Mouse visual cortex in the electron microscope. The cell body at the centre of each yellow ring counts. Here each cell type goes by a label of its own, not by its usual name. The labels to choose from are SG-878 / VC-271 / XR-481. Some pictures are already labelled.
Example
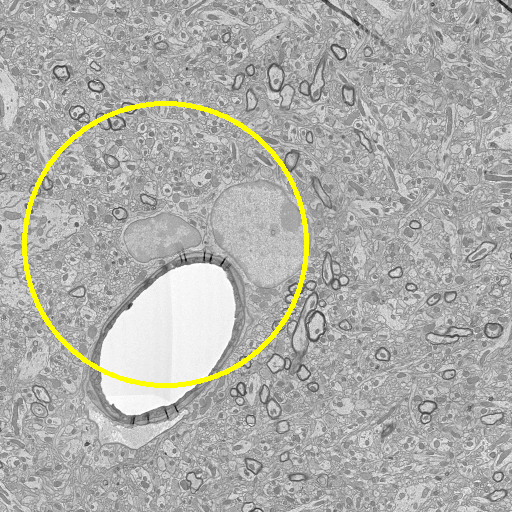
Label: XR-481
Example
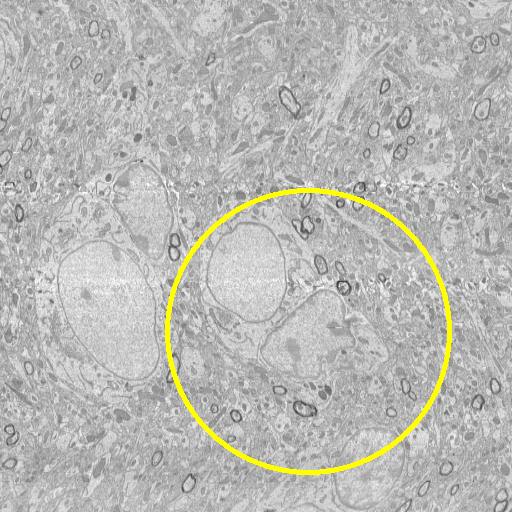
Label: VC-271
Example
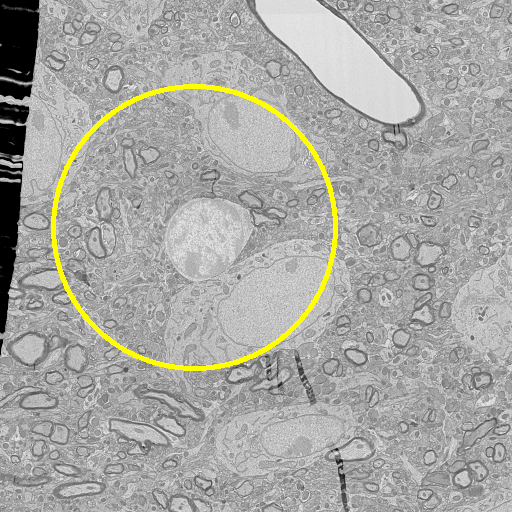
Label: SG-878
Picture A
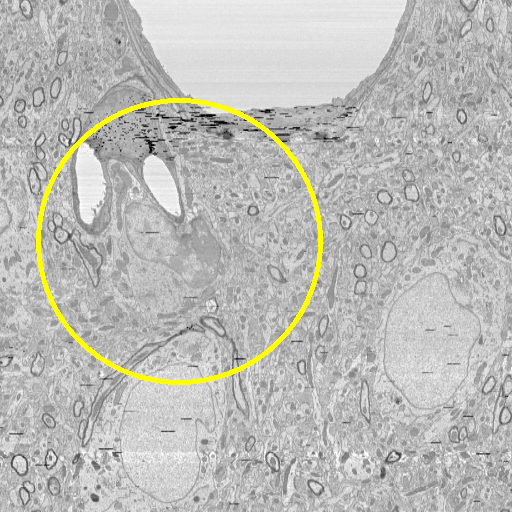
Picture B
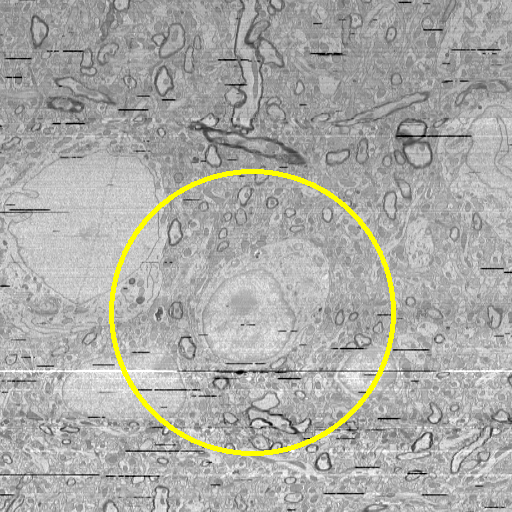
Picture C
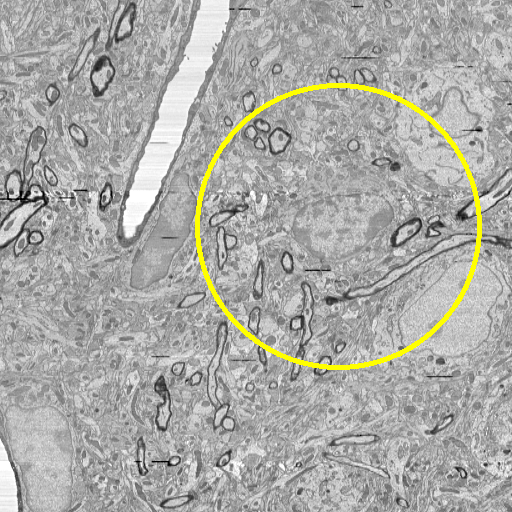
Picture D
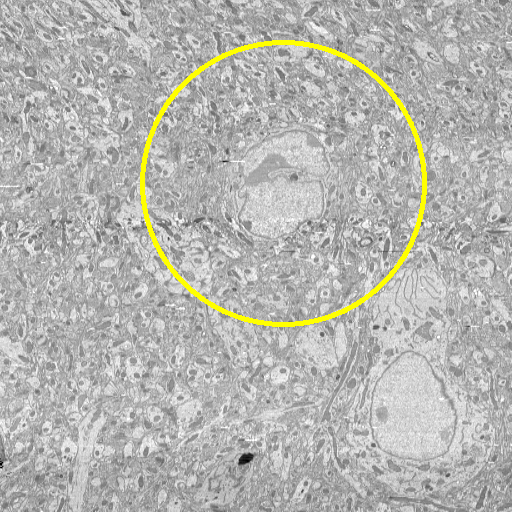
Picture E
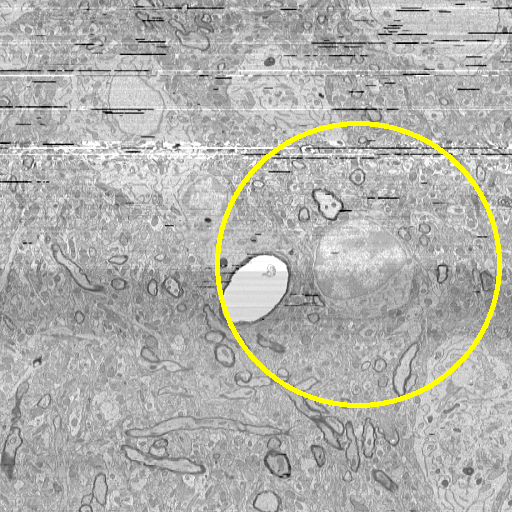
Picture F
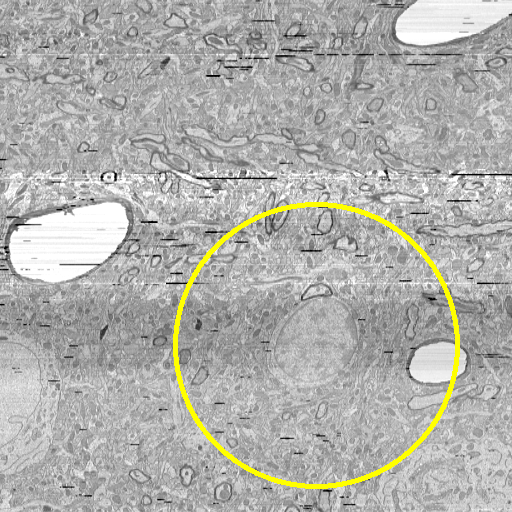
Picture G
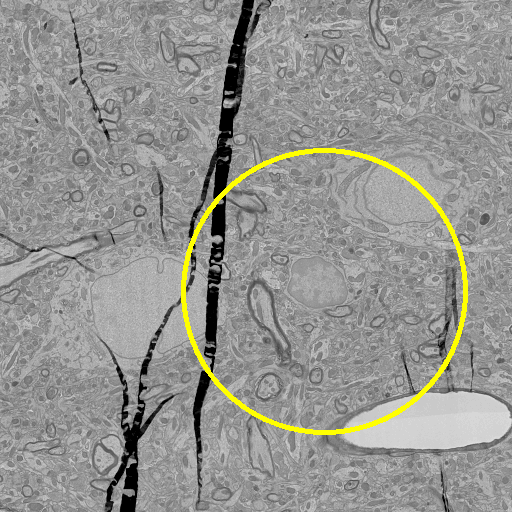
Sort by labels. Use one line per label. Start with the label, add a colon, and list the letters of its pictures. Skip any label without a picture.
SG-878: A, B, C, E, F
VC-271: D
XR-481: G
